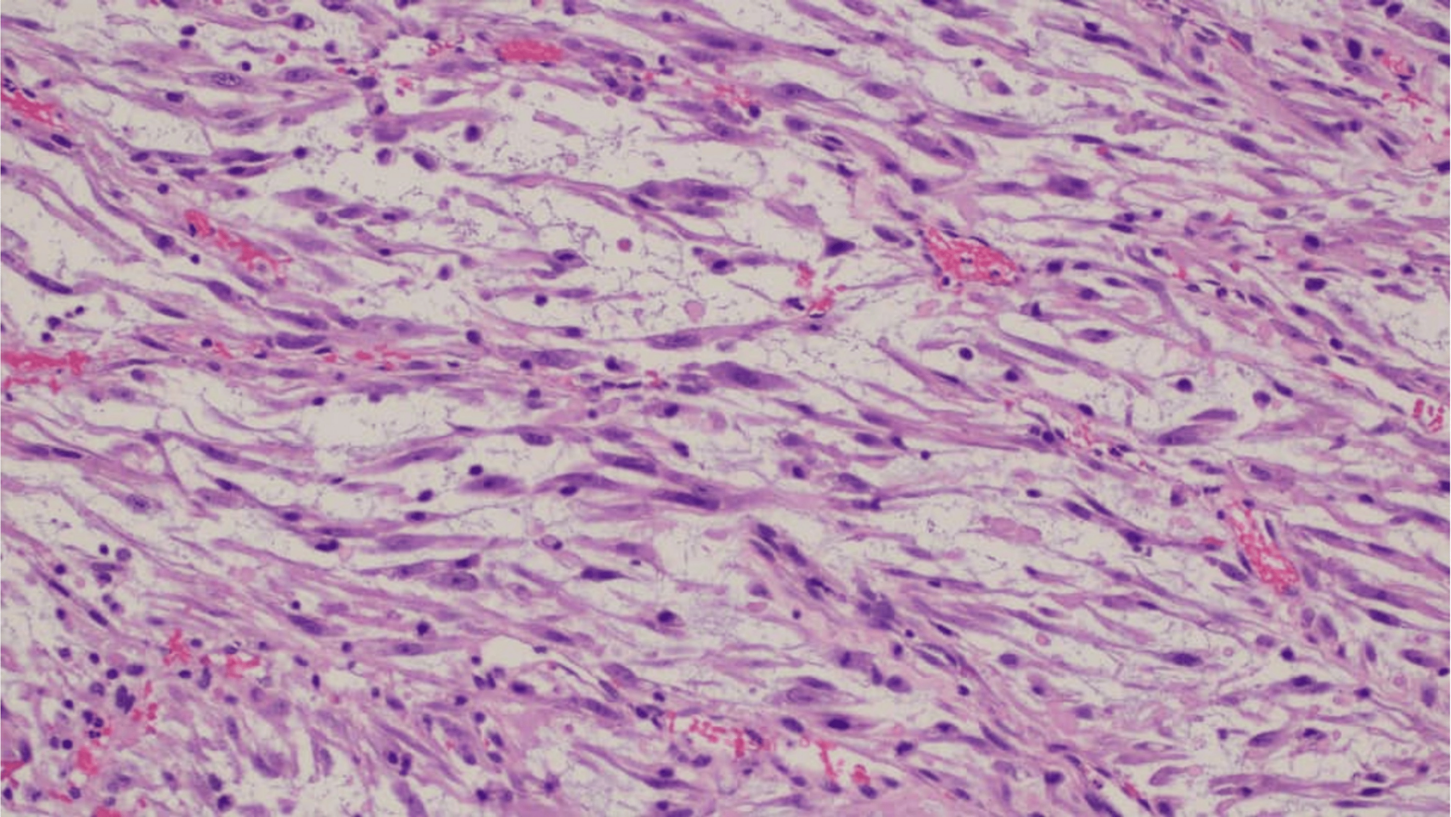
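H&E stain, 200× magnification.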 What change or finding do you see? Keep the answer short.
myxoid matrix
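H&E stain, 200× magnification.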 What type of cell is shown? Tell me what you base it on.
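Spindle cells. Most cells are elongated with tapering ends. Nuclei are oval to cigar-shaped and lie along the long axis of the cell.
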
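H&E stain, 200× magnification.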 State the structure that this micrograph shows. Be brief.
Fascicles.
